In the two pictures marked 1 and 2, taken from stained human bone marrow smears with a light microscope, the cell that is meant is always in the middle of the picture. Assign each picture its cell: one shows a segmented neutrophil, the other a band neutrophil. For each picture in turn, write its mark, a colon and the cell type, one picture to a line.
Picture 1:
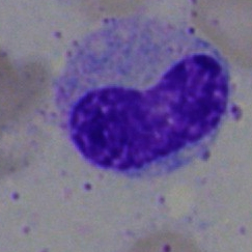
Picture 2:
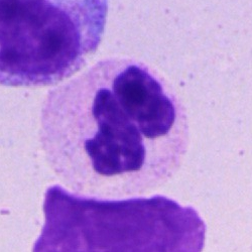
1: band neutrophil
2: segmented neutrophil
